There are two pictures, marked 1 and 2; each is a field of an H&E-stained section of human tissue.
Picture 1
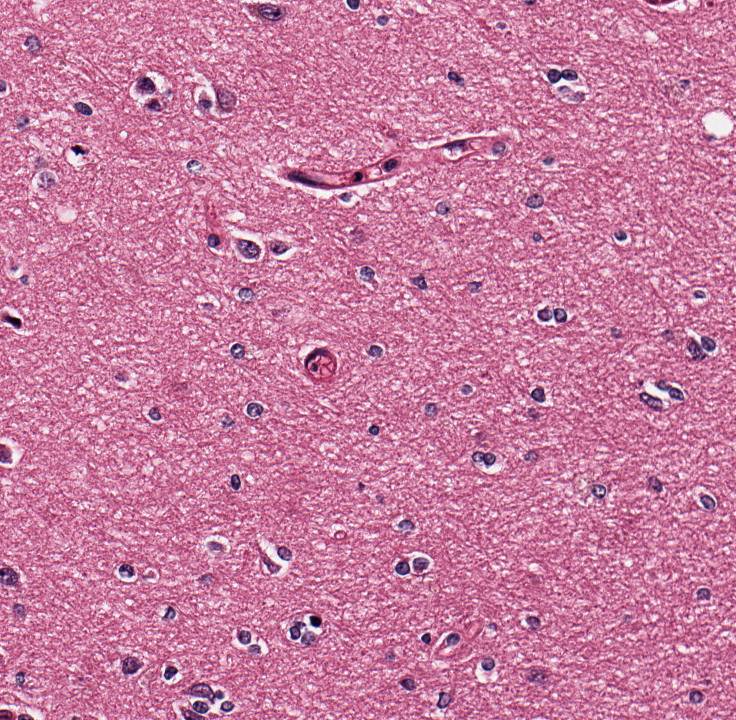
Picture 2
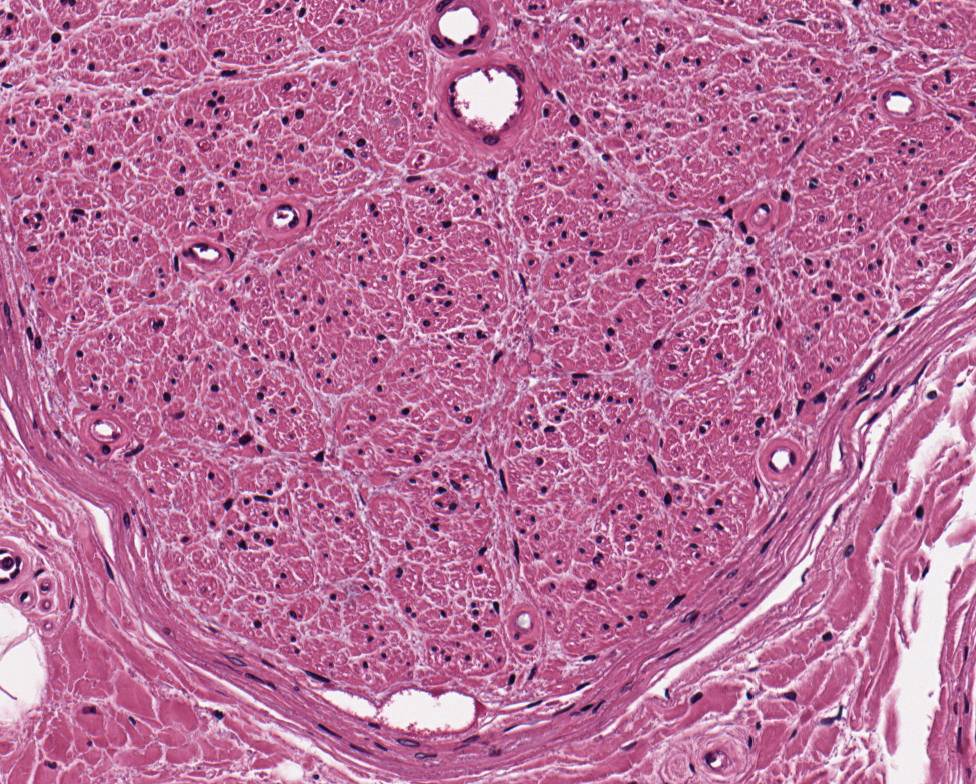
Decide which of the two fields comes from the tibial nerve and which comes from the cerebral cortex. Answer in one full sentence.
Picture 2 comes from the tibial nerve, while picture 1 comes from the cerebral cortex.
